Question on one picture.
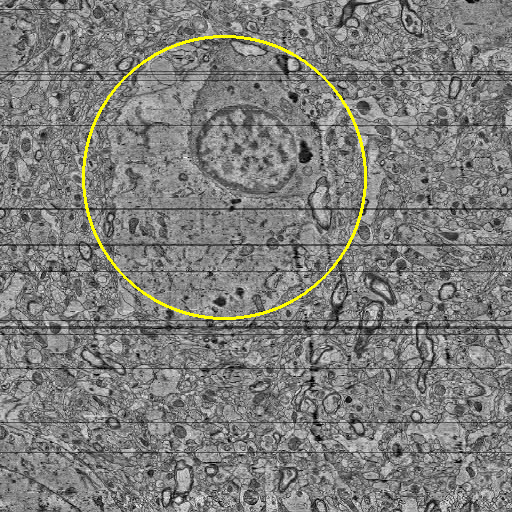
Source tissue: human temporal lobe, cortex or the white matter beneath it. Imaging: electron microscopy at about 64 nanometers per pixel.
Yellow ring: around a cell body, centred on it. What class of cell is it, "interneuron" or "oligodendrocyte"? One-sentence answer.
This is an oligodendrocyte, the cell the ring is centred on.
